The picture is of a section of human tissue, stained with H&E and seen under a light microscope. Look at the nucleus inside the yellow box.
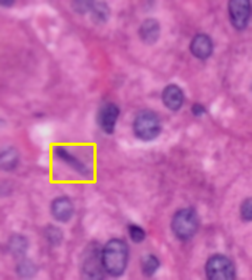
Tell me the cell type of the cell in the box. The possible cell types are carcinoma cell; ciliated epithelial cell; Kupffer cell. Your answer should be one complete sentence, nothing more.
The expected answer is simply that the cell in the box is a Kupffer cell.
